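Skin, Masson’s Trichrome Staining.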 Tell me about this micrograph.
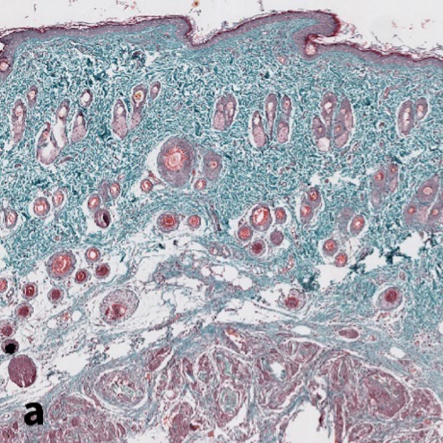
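A thin, continuous epidermis covers the surface. The dermis beneath consists of blue-green collagen and holds many hair follicles, cut in longitudinal, oblique and cross section, with red-staining epithelial sheaths and round profiles in the deeper dermis. Below this is looser connective tissue with a few clear fat spaces. At the bottom of the field lies a layer of red-stained muscle bundles separated by thin blue-green septa.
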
